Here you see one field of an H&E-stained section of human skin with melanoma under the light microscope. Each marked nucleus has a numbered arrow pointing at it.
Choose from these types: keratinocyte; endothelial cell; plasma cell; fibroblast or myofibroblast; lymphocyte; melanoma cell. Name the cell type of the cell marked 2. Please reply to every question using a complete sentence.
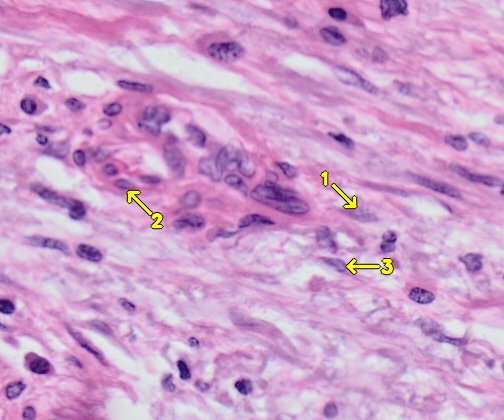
Cell number 2 in this section is an endothelial cell.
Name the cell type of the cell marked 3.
Here the cell numbered 3 is a fibroblast or myofibroblast.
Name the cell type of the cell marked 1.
Cell 1 is classified as a fibroblast or myofibroblast.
